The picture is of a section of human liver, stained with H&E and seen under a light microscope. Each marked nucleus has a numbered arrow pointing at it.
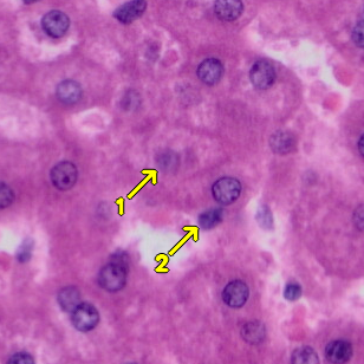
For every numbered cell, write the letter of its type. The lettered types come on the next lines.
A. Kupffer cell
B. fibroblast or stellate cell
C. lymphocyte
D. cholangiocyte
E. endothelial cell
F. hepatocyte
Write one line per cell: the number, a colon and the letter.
1: F
2: B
